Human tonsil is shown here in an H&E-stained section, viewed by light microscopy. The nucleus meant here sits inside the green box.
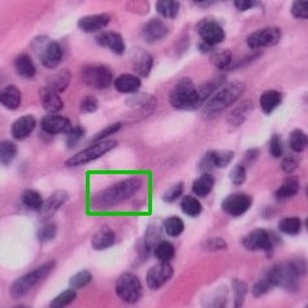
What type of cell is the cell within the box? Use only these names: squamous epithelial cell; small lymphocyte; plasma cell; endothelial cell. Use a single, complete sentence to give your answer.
As classified here, the cell within the box is an endothelial cell.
